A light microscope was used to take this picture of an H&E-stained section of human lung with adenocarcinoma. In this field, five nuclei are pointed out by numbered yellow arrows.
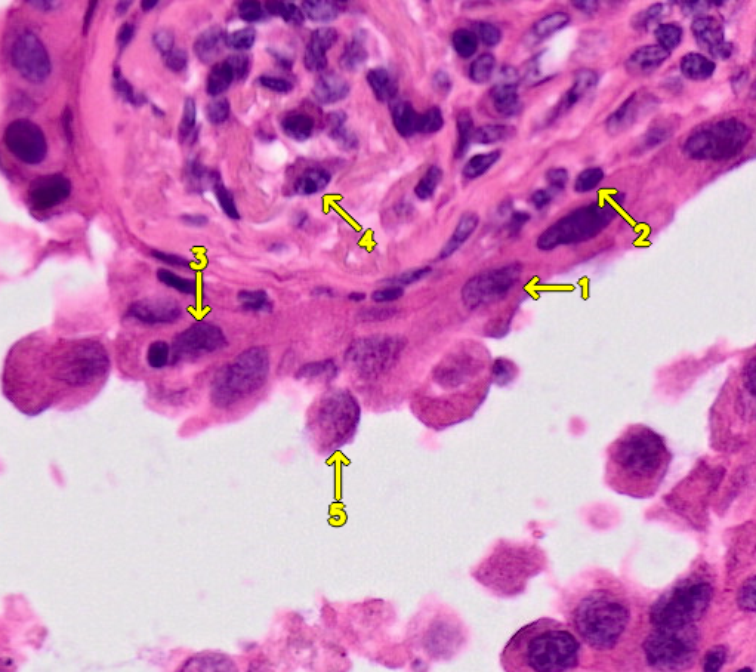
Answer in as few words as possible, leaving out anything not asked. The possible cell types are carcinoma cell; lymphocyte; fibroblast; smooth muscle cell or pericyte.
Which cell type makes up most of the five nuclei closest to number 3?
carcinoma cell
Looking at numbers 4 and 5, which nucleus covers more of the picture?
5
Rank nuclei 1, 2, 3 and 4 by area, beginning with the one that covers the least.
2, 4, 3, 1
